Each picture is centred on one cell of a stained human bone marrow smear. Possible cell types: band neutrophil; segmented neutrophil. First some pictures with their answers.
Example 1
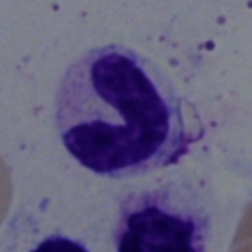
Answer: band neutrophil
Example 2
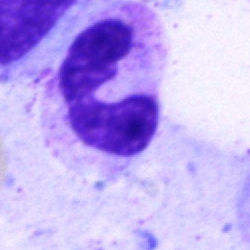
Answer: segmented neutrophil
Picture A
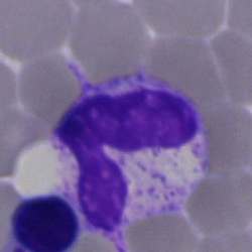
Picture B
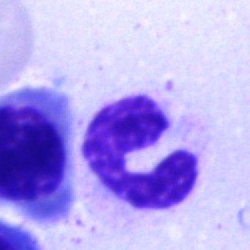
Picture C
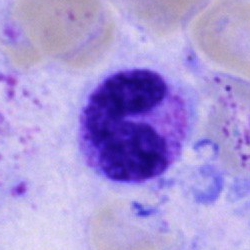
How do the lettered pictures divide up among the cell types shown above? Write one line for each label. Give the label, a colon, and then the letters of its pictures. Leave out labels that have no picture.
band neutrophil: B, C
segmented neutrophil: A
